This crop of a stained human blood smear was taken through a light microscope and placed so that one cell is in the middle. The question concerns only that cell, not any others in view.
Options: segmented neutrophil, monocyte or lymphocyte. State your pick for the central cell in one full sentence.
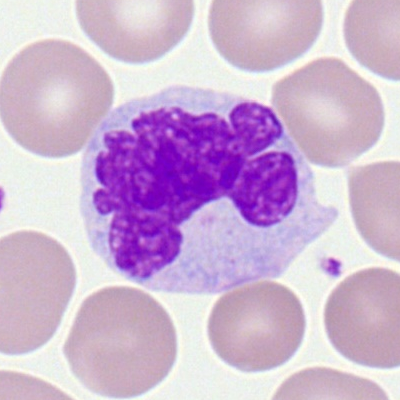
By classification, the middle cell of this crop is a monocyte.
